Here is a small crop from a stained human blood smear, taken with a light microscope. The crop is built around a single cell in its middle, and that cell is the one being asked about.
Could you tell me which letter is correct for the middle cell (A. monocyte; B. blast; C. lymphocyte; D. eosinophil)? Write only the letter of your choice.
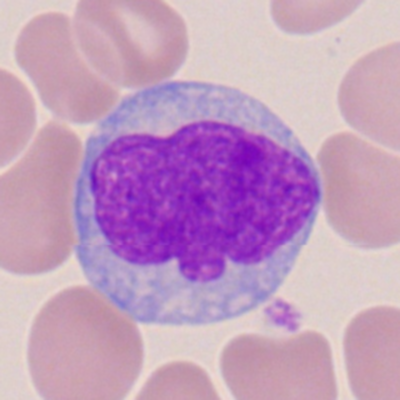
A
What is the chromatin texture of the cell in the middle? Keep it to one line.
The chromatin is delicate and fine, lacking coarse clumping entirely.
